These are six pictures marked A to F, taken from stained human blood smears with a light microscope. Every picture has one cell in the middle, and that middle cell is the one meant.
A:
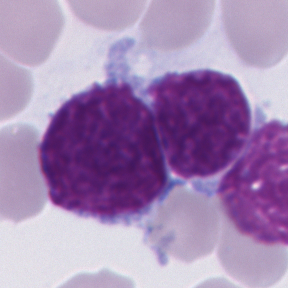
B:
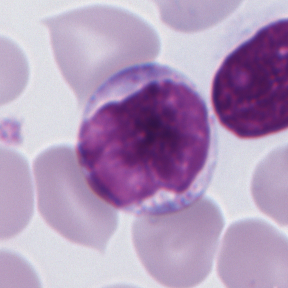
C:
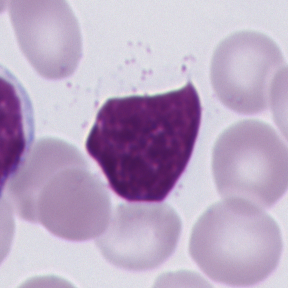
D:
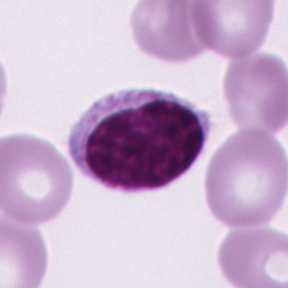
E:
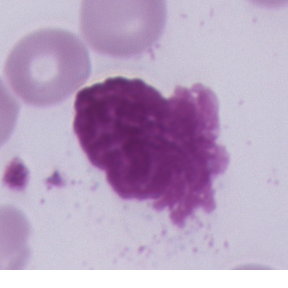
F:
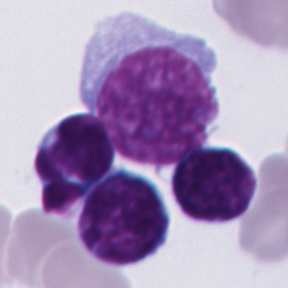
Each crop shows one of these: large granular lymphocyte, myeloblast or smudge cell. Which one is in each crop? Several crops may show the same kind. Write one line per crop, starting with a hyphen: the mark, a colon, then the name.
- A: myeloblast
- B: large granular lymphocyte
- C: smudge cell
- D: large granular lymphocyte
- E: smudge cell
- F: myeloblast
